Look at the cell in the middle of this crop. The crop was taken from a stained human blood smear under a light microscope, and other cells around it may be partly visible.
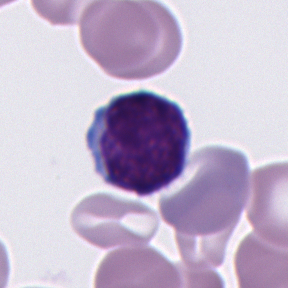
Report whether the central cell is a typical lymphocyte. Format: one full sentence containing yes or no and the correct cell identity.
Yes, this crop has a typical lymphocyte at its centre.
